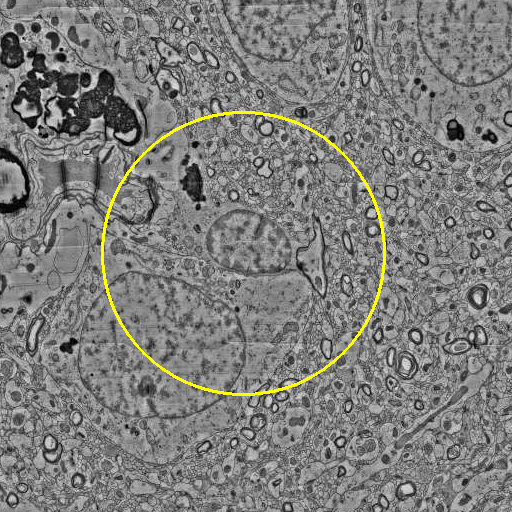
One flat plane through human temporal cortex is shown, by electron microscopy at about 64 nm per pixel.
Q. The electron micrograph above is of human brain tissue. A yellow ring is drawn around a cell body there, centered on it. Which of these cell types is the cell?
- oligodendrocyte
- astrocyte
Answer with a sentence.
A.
The cell under the ring's center is an oligodendrocyte.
